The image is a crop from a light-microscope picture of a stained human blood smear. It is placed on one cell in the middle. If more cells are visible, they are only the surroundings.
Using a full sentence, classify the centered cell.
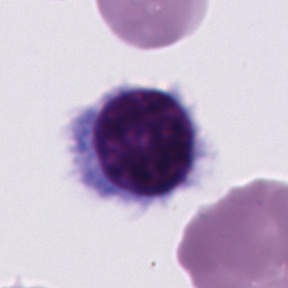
Regarding the central cell, it is a hairy cell.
